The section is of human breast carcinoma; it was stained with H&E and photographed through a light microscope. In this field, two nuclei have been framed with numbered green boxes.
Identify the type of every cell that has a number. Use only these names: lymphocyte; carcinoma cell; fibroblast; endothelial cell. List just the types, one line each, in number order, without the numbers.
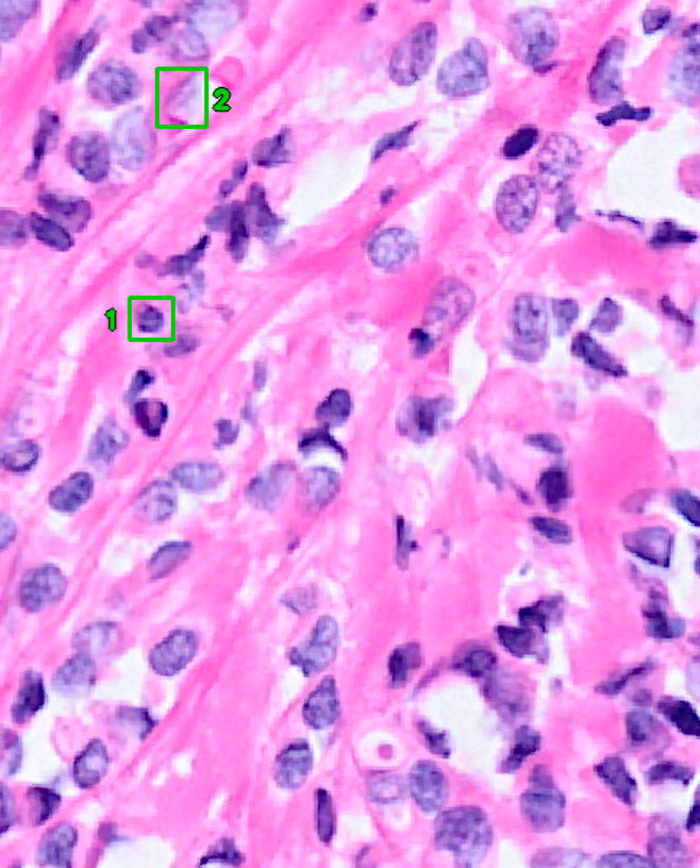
lymphocyte
endothelial cell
